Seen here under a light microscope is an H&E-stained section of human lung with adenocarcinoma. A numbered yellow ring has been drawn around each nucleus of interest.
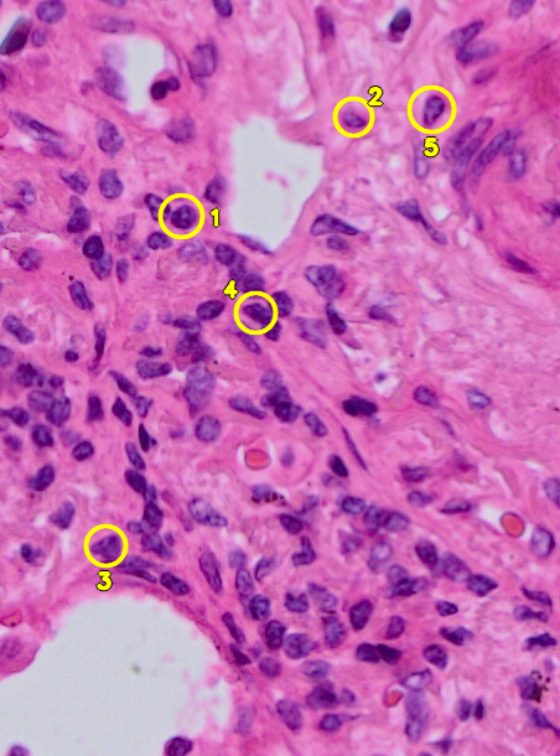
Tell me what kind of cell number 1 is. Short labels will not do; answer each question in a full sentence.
Of the numbered cells, the one labelled 1 is a lymphocyte.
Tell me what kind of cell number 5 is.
To a mast cell belongs the nucleus marked 5.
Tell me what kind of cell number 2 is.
In this section, the cell tagged 2 is a mast cell.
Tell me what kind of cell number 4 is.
The cell pointed out as number 4 is a lymphocyte.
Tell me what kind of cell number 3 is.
Regarding cell 3, this one is a lymphocyte.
